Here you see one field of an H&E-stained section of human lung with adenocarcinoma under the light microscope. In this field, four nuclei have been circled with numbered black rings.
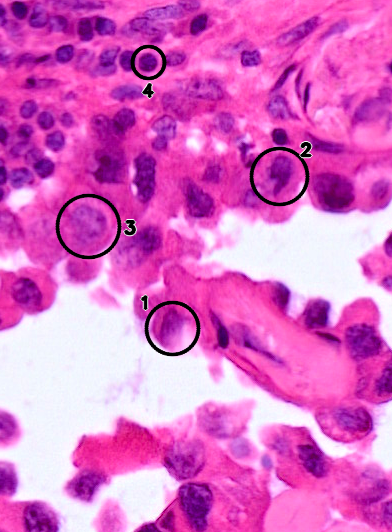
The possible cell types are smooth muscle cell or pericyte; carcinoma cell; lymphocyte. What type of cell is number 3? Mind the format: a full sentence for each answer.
Here, the cell given the number 3 is a carcinoma cell.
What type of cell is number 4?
The cell with the number 4 is a lymphocyte.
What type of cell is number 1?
Cell 1, among those numbered, is a carcinoma cell.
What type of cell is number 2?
Here the cell numbered 2 is a carcinoma cell.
